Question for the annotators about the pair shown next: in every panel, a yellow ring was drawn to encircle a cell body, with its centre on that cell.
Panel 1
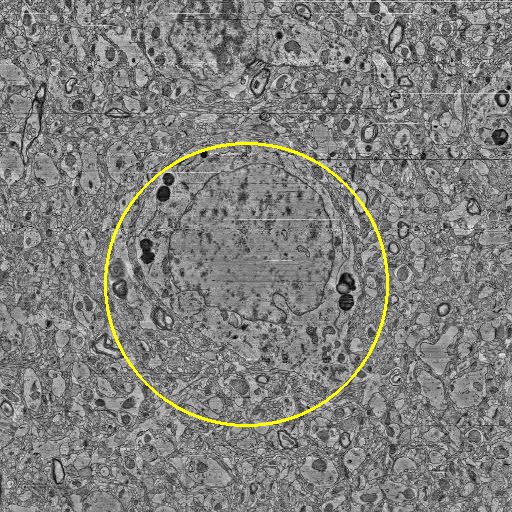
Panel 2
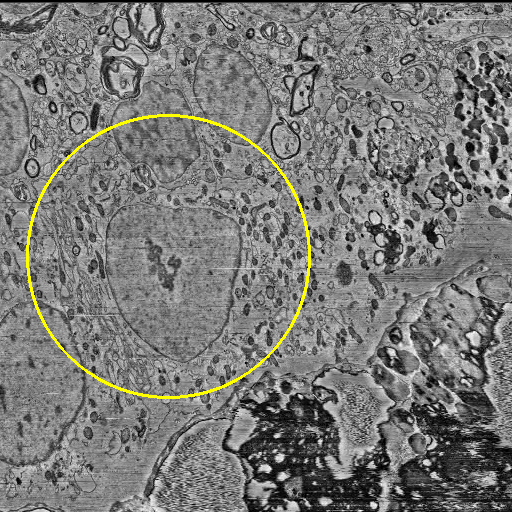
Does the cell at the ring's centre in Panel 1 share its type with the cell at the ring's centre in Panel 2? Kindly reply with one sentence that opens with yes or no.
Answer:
No, in Panels 1 and 2 the cells at the ring centres belong to separate types.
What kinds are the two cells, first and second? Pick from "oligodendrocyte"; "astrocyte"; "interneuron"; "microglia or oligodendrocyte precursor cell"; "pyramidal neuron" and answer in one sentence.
The second picture holds an astrocyte in its ring, and the first holds a pyramidal neuron.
